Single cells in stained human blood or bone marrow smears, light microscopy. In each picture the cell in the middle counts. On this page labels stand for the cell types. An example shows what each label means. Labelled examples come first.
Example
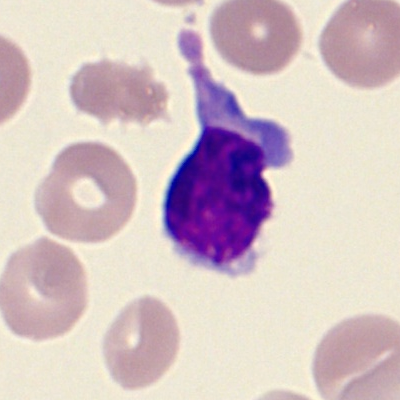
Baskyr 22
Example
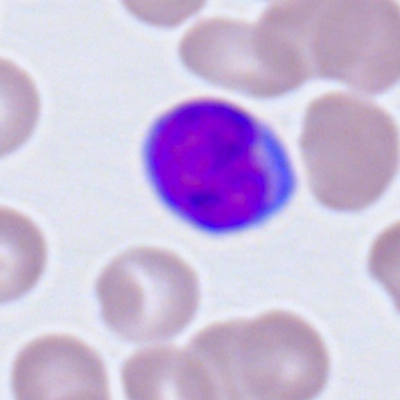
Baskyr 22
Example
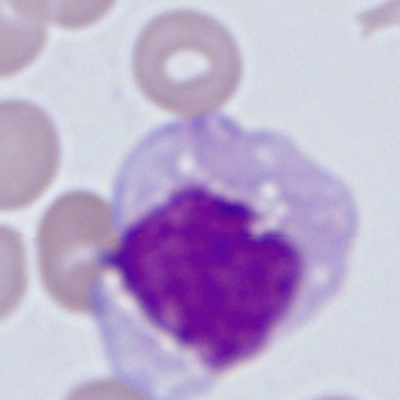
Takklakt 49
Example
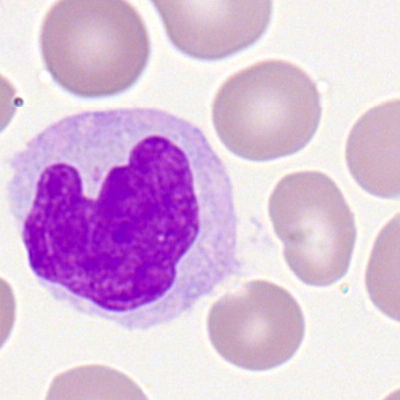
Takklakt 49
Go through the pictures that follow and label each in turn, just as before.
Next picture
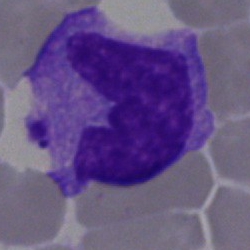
Takklakt 49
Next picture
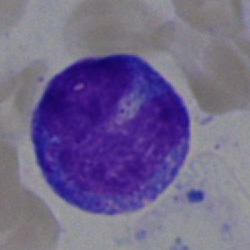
Takklakt 49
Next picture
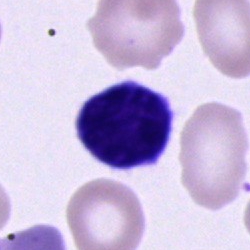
Baskyr 22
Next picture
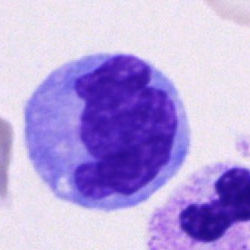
Takklakt 49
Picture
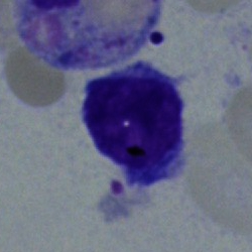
Baskyr 22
